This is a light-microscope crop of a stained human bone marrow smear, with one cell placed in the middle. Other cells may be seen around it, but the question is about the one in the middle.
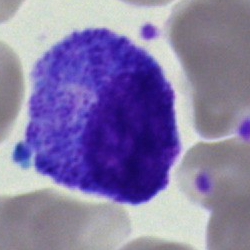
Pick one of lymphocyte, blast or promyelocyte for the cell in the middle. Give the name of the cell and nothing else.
promyelocyte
